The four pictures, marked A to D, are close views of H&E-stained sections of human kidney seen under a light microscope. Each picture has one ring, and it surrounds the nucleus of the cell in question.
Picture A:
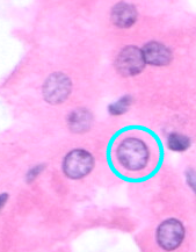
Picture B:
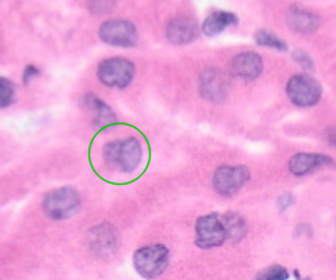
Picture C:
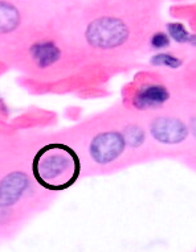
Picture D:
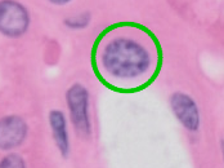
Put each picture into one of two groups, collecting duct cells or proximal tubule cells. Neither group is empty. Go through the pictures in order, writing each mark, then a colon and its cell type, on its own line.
A: proximal tubule cell
B: proximal tubule cell
C: collecting duct cell
D: collecting duct cell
